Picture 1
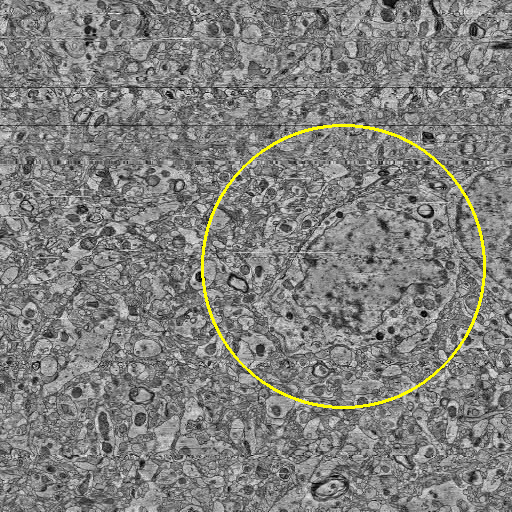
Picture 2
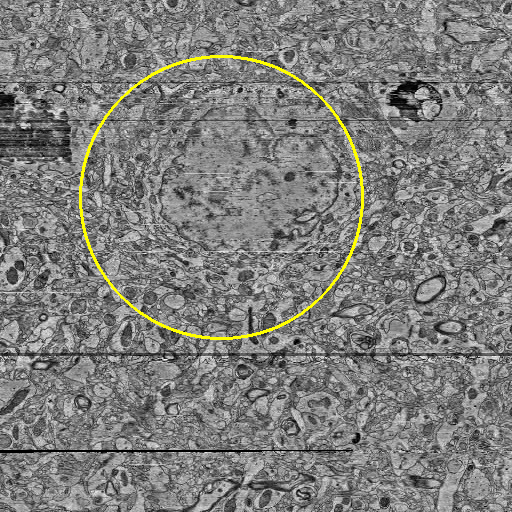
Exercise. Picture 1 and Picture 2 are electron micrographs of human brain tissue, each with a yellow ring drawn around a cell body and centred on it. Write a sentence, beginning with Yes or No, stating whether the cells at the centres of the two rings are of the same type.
Yes, the cells at the centres of both rings are of the same type.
